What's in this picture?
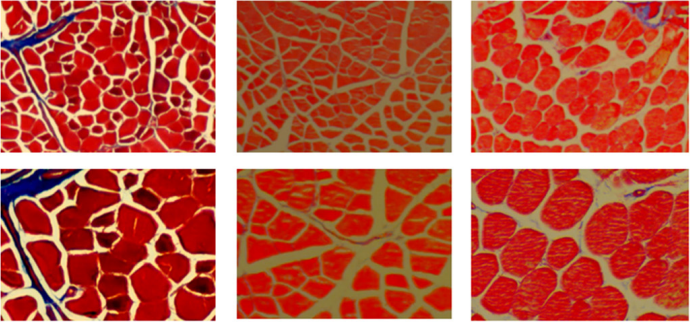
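This is muscle cut in cross section. It shows many muscle fibers stained red, polygonal to rounded in outline and closely packed into groups, with pale narrow spaces between them.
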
